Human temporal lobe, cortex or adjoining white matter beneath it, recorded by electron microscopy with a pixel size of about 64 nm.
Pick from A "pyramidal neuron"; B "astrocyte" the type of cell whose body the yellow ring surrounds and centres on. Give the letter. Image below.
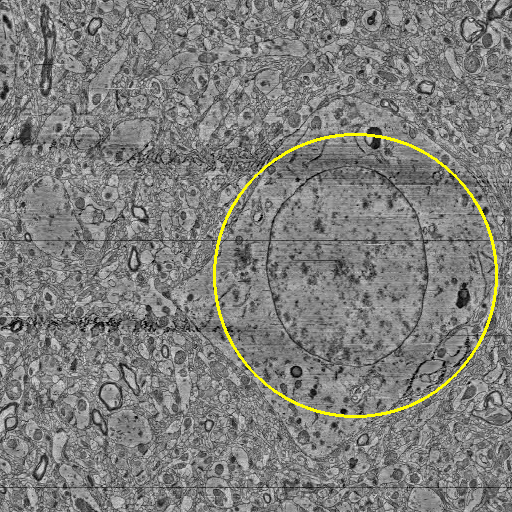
A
